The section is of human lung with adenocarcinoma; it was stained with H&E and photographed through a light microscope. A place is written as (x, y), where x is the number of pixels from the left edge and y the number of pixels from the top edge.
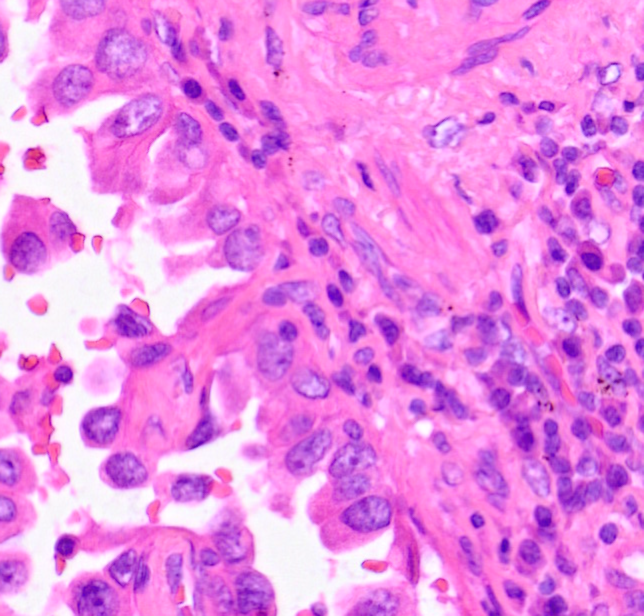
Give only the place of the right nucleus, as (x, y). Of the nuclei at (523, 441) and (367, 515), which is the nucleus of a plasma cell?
(523, 441)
